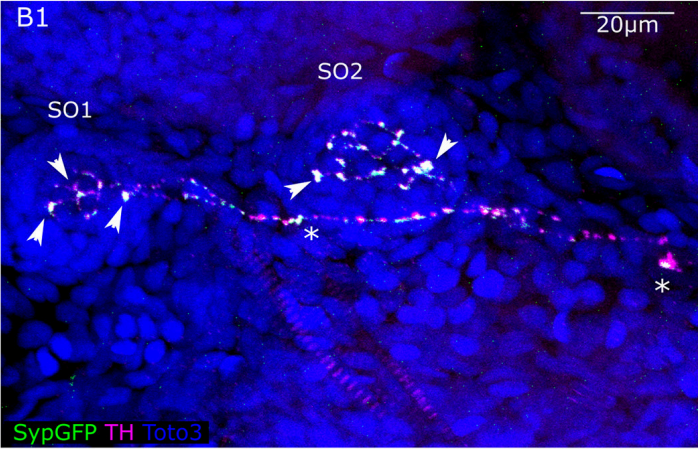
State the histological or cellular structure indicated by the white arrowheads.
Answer: Putative synaptic structures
